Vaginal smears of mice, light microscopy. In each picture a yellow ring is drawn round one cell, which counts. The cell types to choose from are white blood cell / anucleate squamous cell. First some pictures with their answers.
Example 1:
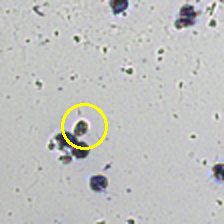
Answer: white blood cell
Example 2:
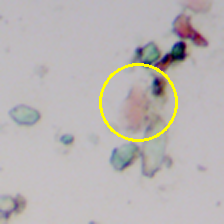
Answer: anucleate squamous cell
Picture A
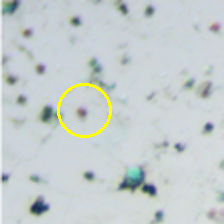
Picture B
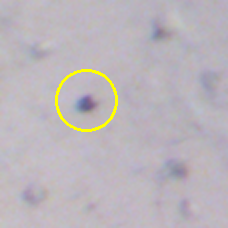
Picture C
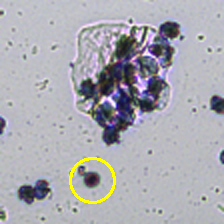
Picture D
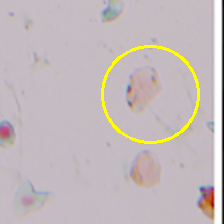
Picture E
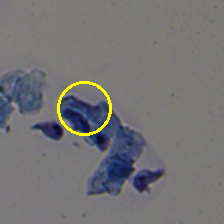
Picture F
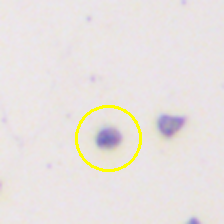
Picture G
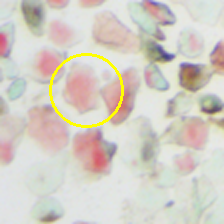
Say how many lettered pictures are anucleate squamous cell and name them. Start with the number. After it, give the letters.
3, namely D, E, G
